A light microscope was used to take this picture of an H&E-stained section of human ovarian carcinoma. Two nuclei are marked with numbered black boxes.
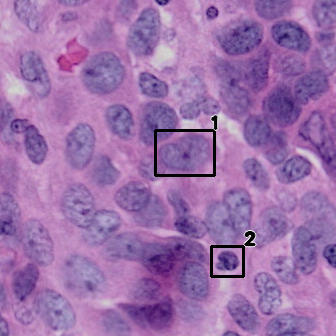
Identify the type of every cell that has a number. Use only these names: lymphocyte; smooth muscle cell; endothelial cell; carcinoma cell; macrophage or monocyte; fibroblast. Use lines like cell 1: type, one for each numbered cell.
cell 1: carcinoma cell
cell 2: lymphocyte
